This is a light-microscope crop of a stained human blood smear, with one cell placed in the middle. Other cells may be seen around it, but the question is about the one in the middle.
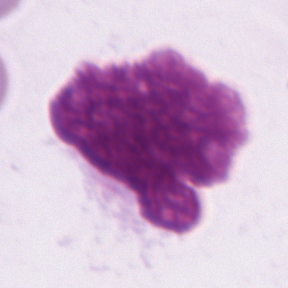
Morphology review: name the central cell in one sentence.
The cell nearest the centre of this crop is a smudge cell.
